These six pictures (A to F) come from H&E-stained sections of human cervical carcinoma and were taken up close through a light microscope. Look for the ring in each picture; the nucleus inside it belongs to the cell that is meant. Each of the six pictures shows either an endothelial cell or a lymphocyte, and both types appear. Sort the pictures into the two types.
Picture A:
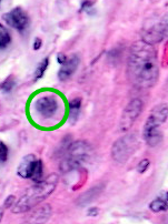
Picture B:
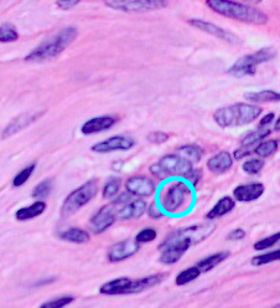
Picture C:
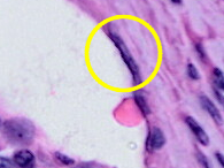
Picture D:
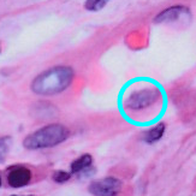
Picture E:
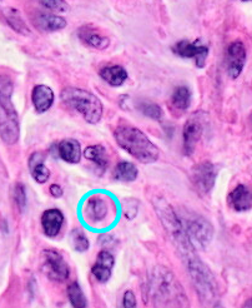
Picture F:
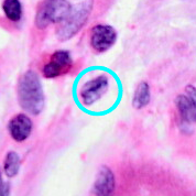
A: lymphocyte
B: endothelial cell
C: endothelial cell
D: endothelial cell
E: lymphocyte
F: lymphocyte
